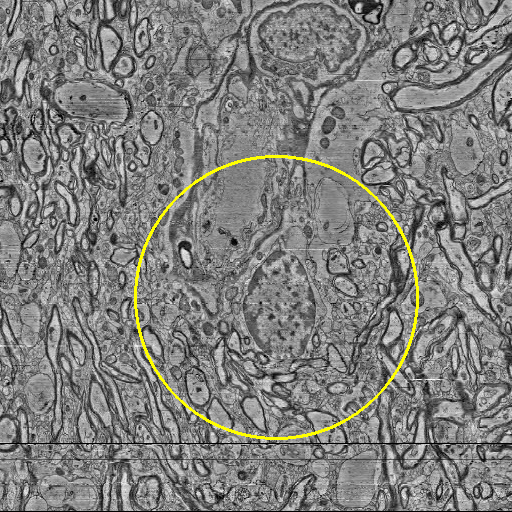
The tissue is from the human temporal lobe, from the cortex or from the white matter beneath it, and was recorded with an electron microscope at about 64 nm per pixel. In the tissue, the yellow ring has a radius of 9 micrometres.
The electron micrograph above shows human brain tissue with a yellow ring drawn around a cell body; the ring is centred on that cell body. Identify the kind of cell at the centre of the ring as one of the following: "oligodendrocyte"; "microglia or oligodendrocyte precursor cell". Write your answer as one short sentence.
The cell at the centre of the ring is a microglial cell or oligodendrocyte precursor cell.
